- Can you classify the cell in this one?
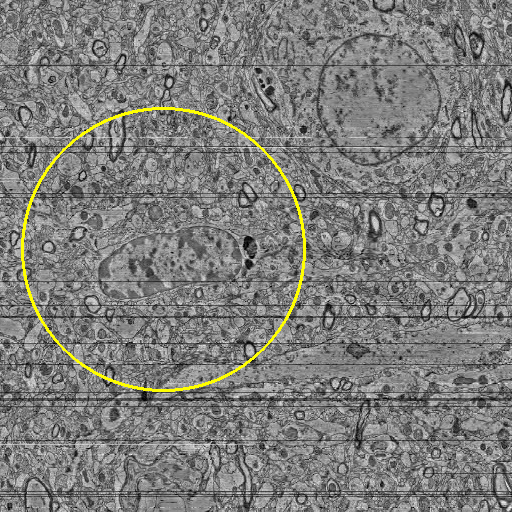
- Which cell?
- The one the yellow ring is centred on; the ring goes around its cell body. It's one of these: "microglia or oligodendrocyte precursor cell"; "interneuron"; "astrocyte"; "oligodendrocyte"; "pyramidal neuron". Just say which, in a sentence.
The cell body in the ring belongs to a microglial cell or oligodendrocyte precursor cell.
